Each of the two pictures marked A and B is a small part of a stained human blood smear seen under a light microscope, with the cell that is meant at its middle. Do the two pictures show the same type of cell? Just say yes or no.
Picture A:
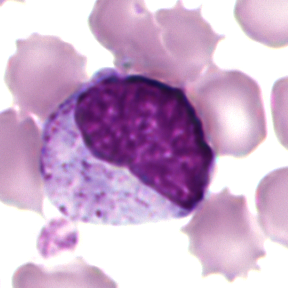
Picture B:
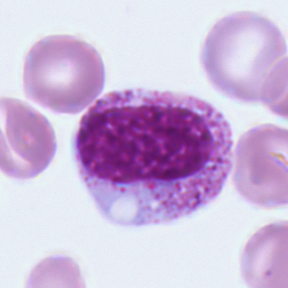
yes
